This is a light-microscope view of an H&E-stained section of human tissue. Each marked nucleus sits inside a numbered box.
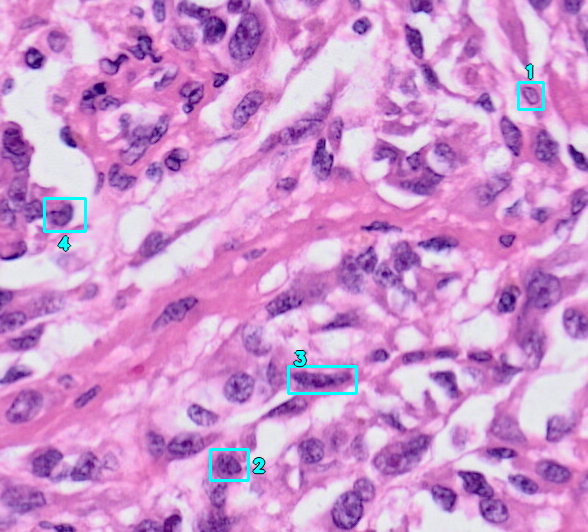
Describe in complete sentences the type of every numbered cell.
Cell 1 is a macrophage or monocyte, cell 2 is a melanoma cell, cell 3 is a melanoma cell and cell 4 is a melanoma cell.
